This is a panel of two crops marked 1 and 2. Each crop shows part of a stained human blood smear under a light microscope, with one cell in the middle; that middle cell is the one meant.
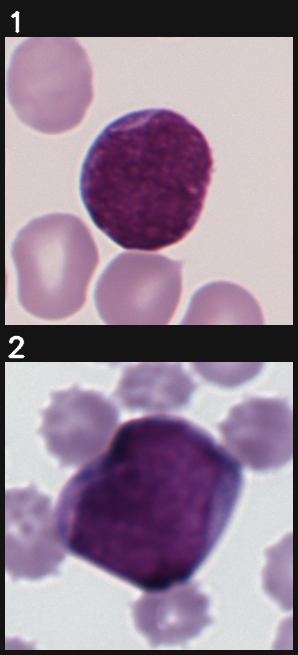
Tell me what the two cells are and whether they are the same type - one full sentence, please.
Yes, both crops show myeloblasts in the centre of the field.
